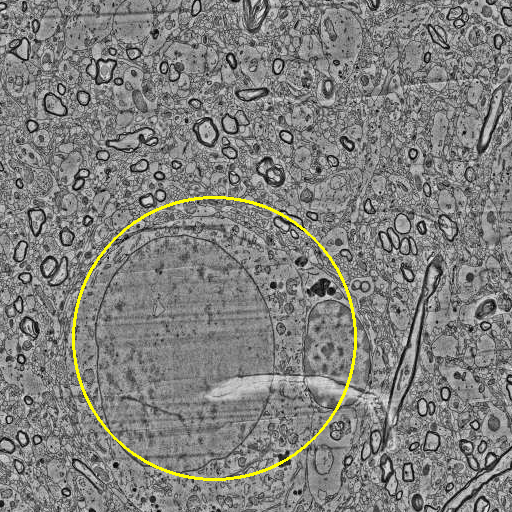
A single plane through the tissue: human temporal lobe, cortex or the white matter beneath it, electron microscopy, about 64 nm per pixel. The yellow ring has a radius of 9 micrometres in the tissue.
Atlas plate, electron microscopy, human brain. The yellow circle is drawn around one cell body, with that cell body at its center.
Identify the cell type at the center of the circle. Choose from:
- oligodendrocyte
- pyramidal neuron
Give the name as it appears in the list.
pyramidal neuron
